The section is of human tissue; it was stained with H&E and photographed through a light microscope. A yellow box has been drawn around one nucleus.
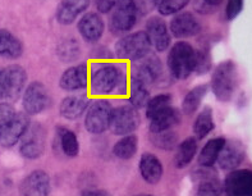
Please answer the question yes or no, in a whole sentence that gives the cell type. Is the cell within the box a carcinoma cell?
Yes, the naming of the cell within the box as a carcinoma cell is correct.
